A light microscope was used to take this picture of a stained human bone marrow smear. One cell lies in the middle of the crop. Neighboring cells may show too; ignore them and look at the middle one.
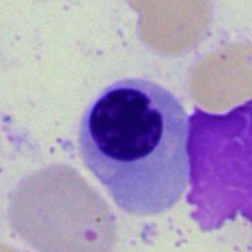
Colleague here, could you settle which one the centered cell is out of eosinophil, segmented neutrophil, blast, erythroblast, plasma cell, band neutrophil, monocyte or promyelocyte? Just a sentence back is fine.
The cell shown in the center of this light-microscope crop is an erythroblast.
